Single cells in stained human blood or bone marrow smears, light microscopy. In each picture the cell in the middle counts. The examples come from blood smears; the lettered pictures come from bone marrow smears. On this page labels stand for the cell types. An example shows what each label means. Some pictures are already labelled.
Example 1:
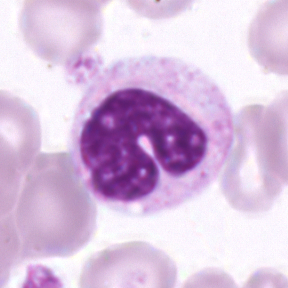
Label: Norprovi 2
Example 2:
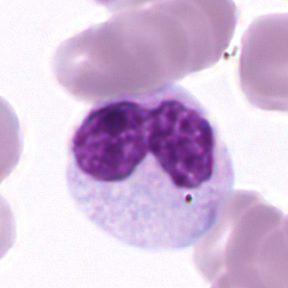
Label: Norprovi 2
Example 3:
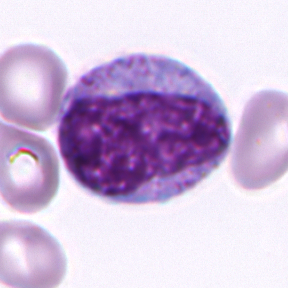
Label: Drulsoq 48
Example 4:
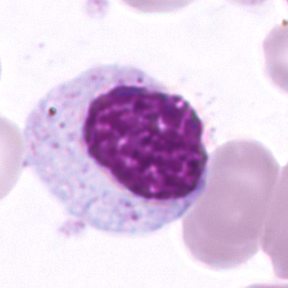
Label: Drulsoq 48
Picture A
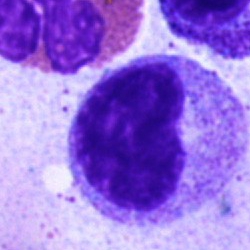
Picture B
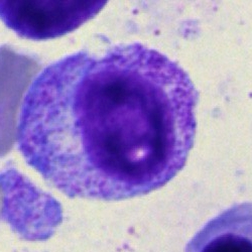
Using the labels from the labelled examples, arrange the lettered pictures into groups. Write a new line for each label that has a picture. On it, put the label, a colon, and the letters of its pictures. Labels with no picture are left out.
Drulsoq 48: A, B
